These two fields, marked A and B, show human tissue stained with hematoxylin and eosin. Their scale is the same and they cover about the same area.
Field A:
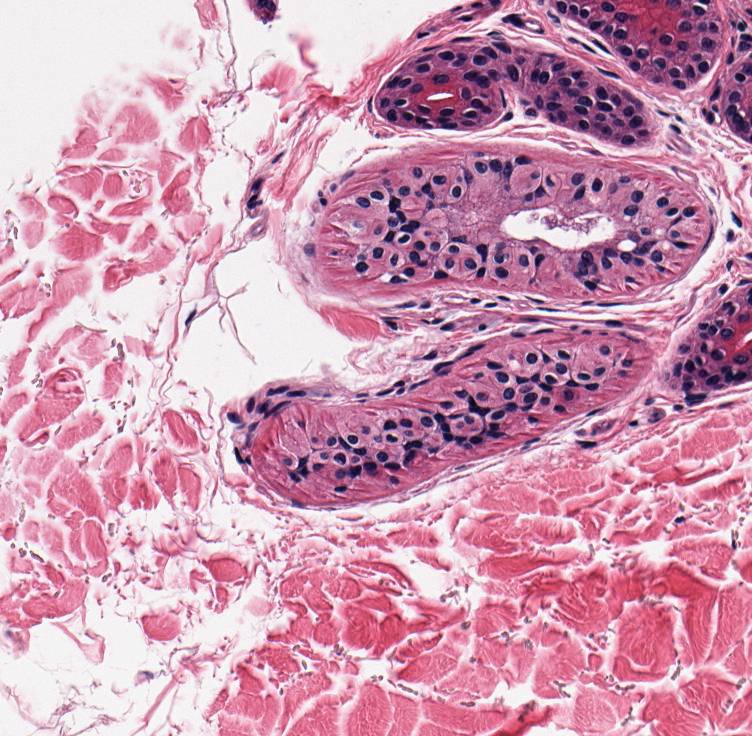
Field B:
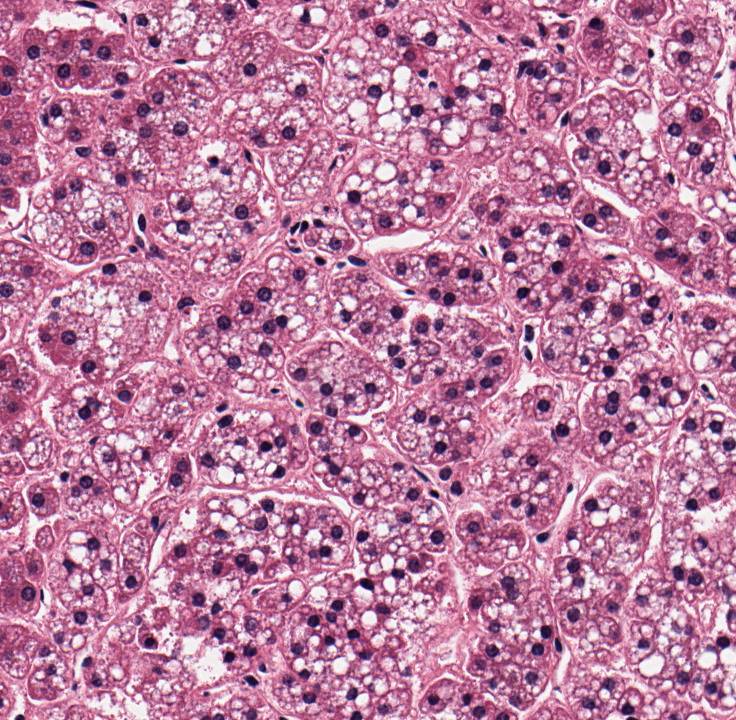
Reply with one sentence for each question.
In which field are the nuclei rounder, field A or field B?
It is field B whose nuclei are the rounder.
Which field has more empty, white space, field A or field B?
Field A has more white space.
